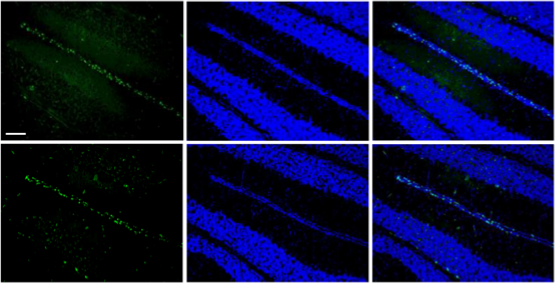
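These are folded leaflets of cerebellum, with nuclei shown in blue. Thick bands of densely packed nuclei form the inner granular layers, separated by paler, sparsely nucleated zones. Only occasional green nuclei lie deeper in the tissue.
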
